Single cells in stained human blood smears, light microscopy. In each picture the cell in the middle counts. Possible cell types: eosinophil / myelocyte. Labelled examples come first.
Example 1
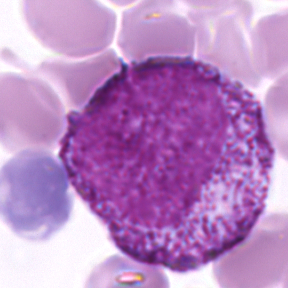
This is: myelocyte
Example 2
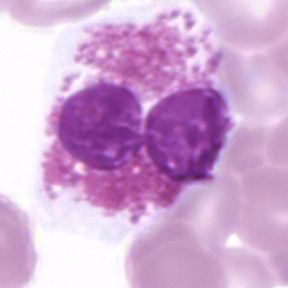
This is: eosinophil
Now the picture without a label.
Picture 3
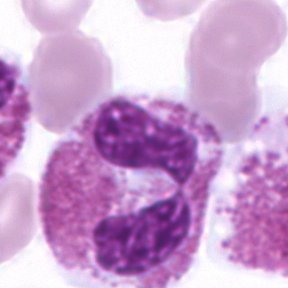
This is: eosinophil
